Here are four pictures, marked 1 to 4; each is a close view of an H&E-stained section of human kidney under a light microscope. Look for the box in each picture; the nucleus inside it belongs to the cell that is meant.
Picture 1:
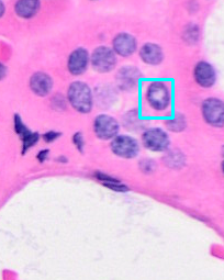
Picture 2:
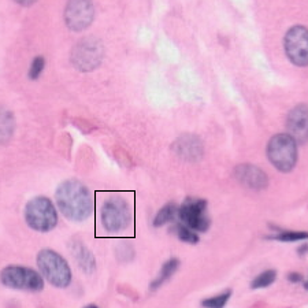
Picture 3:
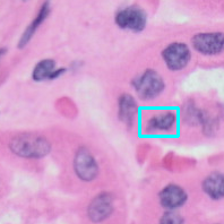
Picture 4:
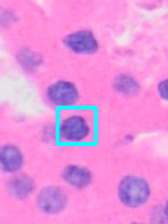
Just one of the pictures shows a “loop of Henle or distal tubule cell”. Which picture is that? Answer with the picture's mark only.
4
